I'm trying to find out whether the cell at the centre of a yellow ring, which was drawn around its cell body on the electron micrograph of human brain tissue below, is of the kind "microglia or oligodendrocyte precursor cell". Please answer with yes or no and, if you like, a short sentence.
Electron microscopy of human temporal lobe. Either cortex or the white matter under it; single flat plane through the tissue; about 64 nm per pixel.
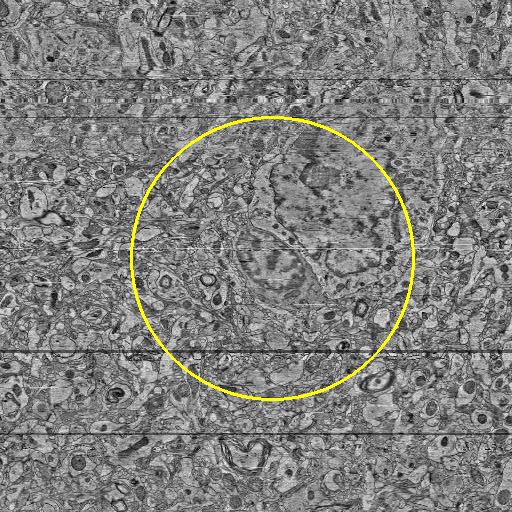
No, that cell is of another kind.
